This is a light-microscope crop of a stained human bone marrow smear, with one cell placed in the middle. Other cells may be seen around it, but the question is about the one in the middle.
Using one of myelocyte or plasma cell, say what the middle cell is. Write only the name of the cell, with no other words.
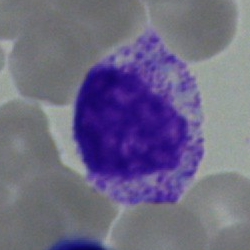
myelocyte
